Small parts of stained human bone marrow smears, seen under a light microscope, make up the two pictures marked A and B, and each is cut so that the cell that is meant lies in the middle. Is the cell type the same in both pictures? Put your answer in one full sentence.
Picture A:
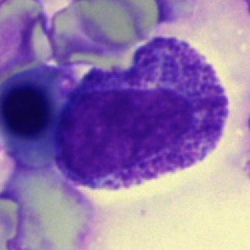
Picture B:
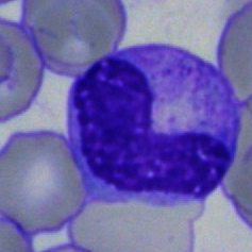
No. Picture A shows a promyelocyte, but picture B shows a band neutrophil.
